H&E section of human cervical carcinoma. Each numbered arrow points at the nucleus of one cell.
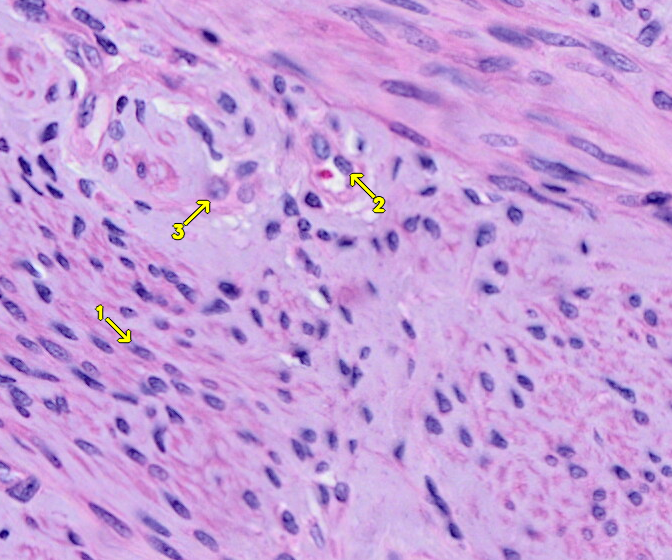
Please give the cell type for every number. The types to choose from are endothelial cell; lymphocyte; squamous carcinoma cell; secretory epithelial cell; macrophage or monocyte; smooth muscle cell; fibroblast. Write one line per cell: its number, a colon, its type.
1: smooth muscle cell
2: endothelial cell
3: endothelial cell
